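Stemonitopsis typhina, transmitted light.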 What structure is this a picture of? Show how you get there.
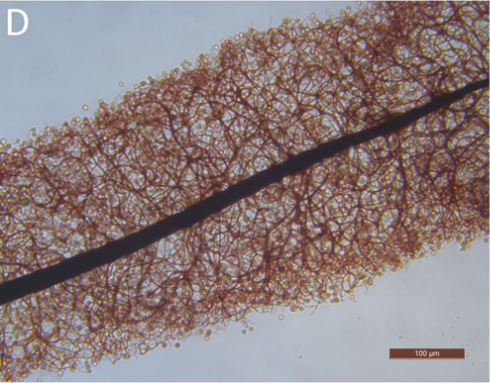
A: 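A dark straight central axis runs through a dense brown network of threads. Many small round bodies lie at the edge of the network. So: sporotheca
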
